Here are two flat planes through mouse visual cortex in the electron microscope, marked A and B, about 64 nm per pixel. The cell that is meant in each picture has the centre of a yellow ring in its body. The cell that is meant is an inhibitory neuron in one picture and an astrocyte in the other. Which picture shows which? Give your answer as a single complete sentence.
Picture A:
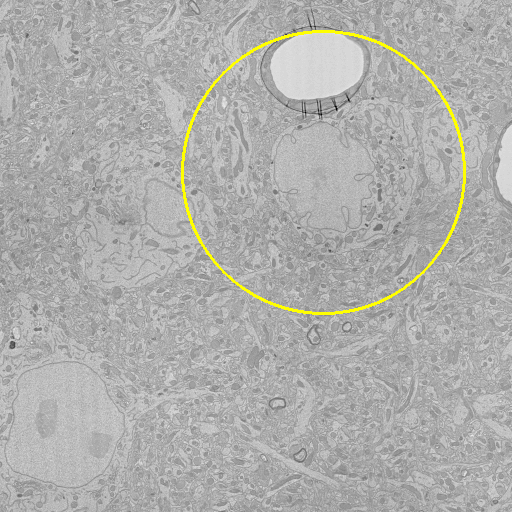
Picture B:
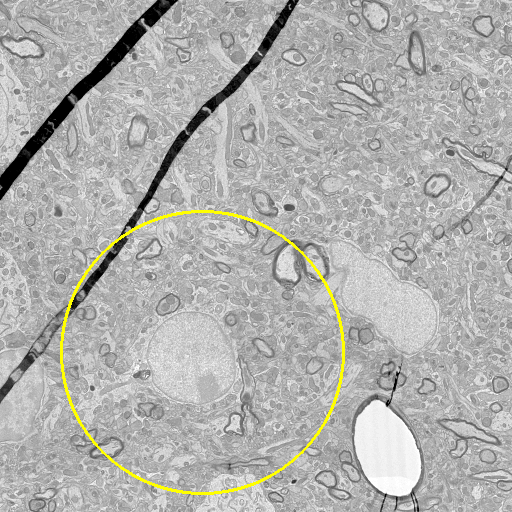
It is picture A that shows an inhibitory neuron, and picture B that shows an astrocyte.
